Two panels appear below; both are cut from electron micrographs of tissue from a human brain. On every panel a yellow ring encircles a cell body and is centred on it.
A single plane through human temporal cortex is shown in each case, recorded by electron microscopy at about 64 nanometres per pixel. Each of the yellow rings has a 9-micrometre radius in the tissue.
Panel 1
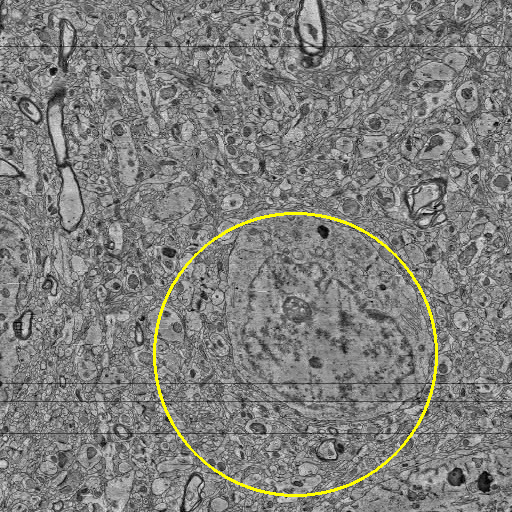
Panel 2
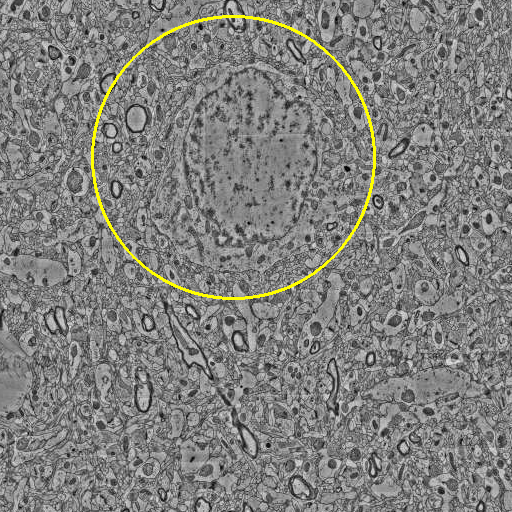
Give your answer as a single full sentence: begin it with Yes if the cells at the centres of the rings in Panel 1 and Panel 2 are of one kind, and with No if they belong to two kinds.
Yes, the cells in the middle of the rings in Panels 1 and 2 are of one kind.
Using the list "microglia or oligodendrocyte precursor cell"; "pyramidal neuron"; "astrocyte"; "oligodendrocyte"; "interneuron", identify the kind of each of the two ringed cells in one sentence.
The ring centre holds an interneuron in each of the two pictures.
